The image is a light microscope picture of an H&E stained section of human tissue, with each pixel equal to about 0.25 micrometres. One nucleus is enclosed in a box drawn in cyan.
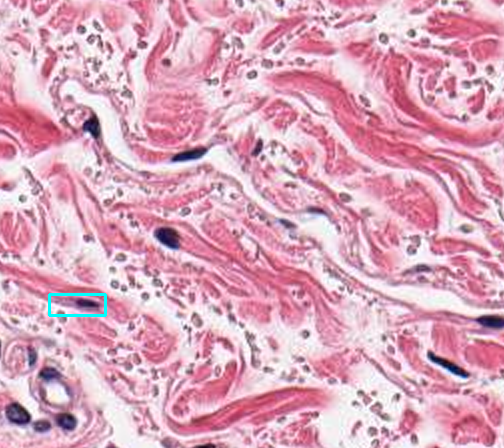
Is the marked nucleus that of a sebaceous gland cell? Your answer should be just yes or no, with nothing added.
no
